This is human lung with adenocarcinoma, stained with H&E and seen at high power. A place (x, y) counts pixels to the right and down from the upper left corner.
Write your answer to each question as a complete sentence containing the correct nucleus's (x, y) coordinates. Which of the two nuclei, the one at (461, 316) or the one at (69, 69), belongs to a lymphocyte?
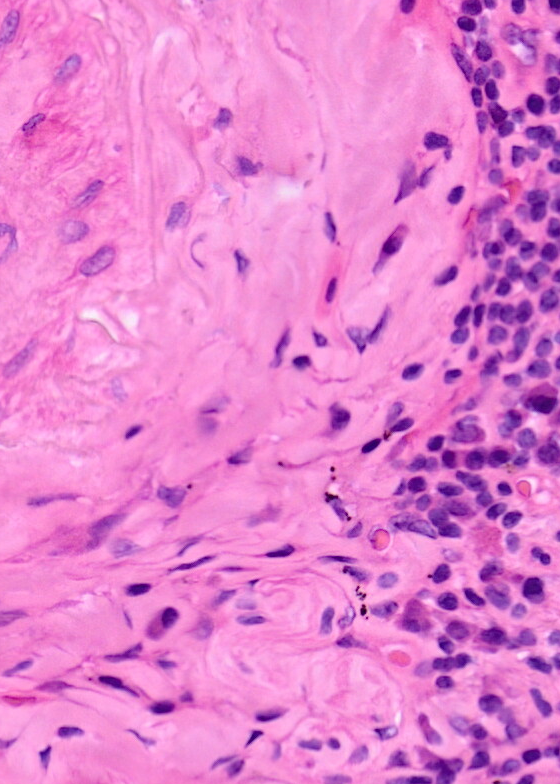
It is the nucleus at (461, 316) that forms part of a lymphocyte.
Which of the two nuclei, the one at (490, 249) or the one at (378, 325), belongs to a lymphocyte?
The cell to which the nucleus at (490, 249) belongs is a lymphocyte.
